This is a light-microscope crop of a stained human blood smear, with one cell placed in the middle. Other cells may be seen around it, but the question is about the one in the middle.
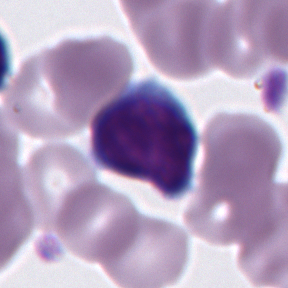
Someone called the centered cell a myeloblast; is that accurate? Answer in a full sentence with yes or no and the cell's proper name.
No, the central cell does not count as a myeloblast; it is a typical lymphocyte.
